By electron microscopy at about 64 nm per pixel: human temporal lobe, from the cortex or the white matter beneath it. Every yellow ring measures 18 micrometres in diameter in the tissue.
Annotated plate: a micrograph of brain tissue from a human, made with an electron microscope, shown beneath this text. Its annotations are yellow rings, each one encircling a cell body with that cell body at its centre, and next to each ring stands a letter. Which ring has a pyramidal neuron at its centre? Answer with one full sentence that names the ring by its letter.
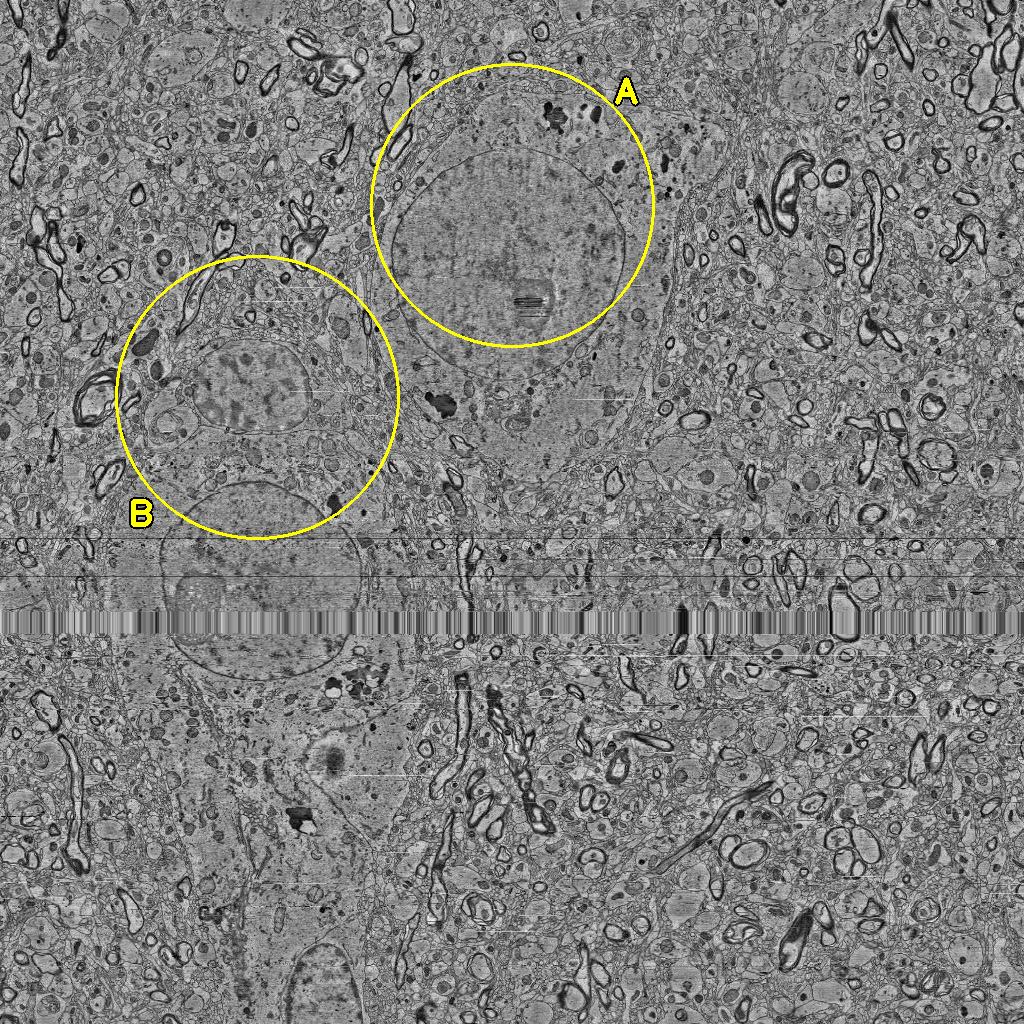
In the plate, ring A is the one centred on a cell of that kind.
